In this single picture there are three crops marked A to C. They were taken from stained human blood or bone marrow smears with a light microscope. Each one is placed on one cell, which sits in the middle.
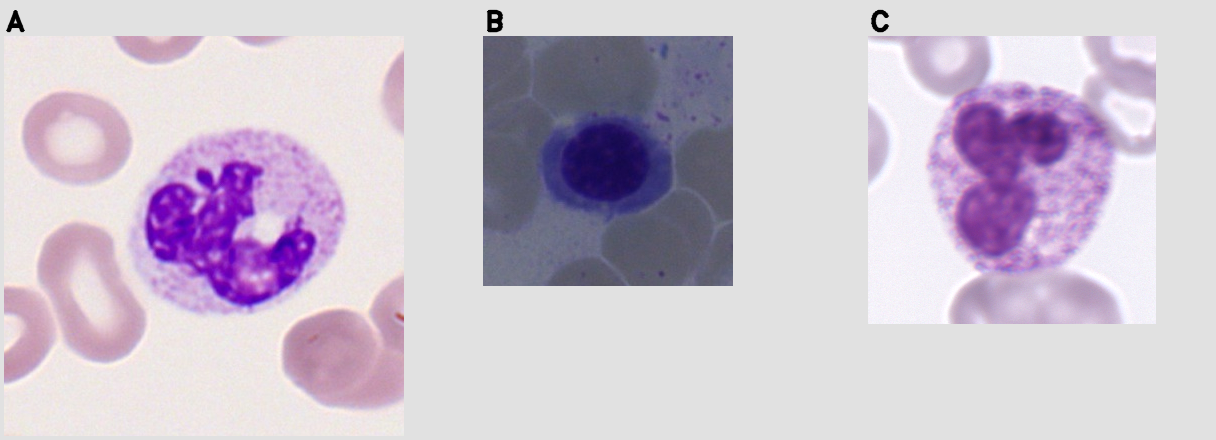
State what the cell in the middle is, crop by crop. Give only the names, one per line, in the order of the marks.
neutrophil
normoblast
neutrophil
